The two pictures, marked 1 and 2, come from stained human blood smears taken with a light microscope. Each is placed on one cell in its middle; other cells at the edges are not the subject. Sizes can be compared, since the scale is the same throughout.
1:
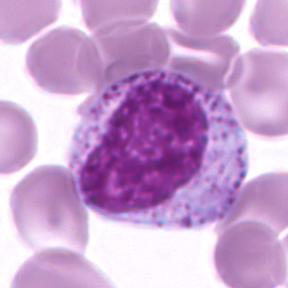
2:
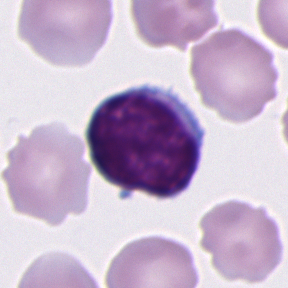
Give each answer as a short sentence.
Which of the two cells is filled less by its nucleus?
Of the two, the nucleus in picture 1 leaves more room for cytoplasm.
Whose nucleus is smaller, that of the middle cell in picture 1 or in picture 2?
Smaller is the nucleus in picture 2, and the other is about 1.5 times as large in area.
